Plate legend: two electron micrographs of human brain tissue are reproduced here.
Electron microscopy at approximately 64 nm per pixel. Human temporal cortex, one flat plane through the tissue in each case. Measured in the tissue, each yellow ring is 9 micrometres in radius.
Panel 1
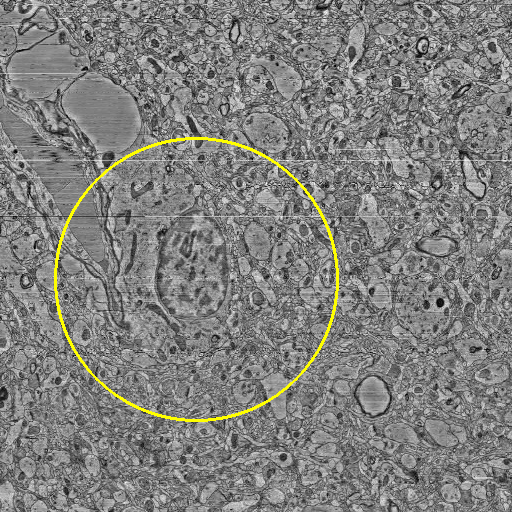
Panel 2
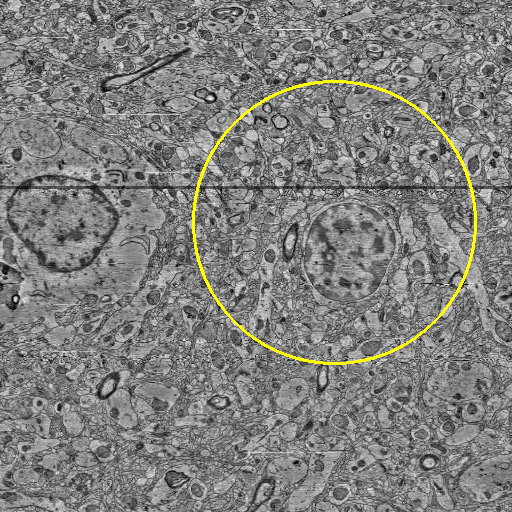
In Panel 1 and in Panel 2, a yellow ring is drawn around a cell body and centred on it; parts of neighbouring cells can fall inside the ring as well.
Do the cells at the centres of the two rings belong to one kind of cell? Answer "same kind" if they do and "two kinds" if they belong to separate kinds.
two kinds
